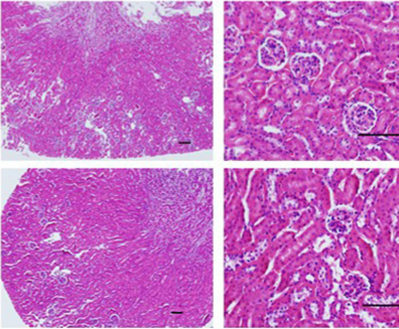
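At low magnification the cortex is filled with pink tubular profiles. At high magnification round glomeruli appear as tufts of capillary loops with many purple nuclei, each set within a narrow clear space. Around them lie proximal tubules lined by cuboidal cells with abundant bright pink cytoplasm and round basal nuclei. The glomeruli and tubules look alike in the upper and lower images.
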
